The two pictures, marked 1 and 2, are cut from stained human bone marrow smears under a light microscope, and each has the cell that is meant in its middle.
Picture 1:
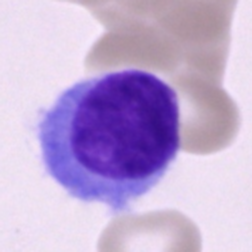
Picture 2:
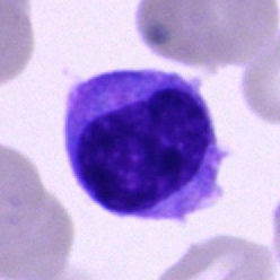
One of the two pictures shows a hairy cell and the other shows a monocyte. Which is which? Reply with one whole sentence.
The cell in picture 1 is a hairy cell, and the one in picture 2 is a monocyte.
